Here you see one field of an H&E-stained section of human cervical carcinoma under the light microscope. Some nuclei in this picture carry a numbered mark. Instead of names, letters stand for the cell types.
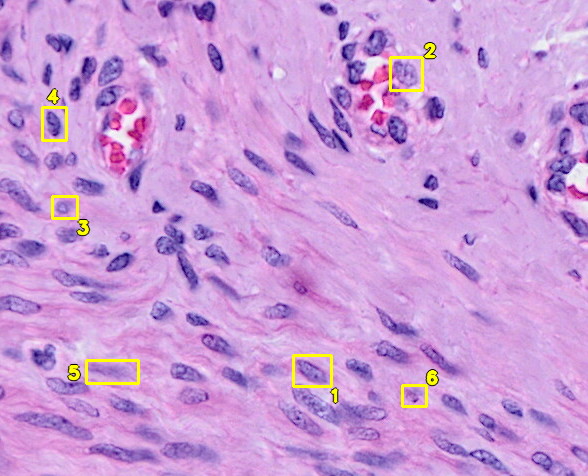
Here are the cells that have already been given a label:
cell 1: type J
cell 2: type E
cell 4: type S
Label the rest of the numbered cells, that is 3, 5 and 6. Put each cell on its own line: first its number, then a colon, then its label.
3: type J
5: type J
6: type J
